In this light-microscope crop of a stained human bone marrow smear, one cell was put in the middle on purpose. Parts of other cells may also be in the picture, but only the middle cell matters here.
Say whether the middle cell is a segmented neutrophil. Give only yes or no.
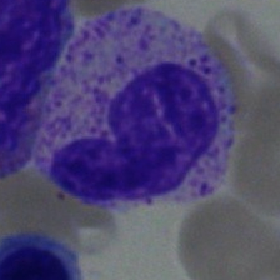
no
